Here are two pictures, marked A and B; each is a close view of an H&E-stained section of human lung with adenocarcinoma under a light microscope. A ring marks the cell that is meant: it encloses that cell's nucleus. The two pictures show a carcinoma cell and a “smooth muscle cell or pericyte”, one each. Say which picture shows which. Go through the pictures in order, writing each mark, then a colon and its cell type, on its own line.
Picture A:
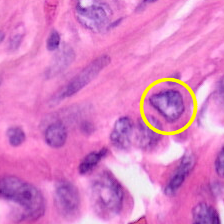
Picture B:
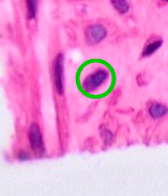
A: carcinoma cell
B: smooth muscle cell or pericyte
